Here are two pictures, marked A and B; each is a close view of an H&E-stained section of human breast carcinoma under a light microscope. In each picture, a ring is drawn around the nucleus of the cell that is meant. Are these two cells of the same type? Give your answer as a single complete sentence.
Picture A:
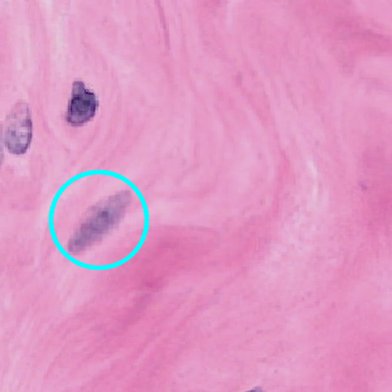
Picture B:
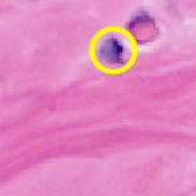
No, picture A shows a fibroblast and picture B shows an endothelial cell.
